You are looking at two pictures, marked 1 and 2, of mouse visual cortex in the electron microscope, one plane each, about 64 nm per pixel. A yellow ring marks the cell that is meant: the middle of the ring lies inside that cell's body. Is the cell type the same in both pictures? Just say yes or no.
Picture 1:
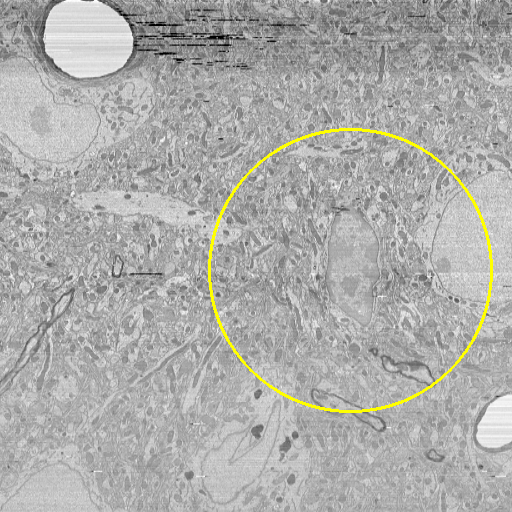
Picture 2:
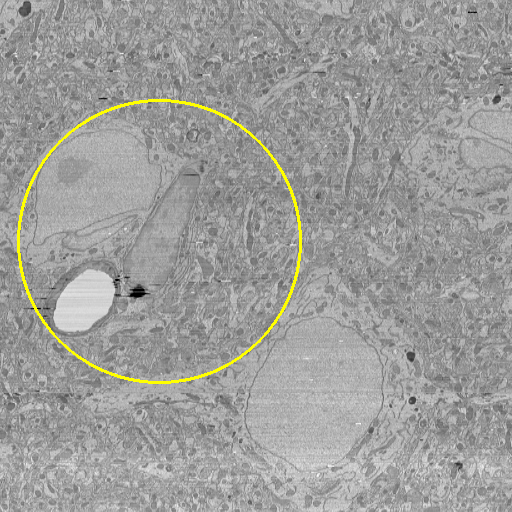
yes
